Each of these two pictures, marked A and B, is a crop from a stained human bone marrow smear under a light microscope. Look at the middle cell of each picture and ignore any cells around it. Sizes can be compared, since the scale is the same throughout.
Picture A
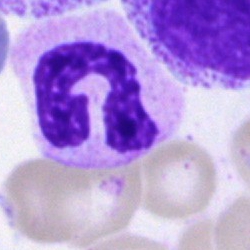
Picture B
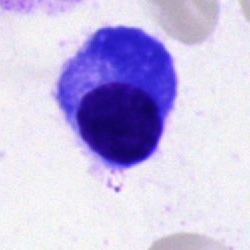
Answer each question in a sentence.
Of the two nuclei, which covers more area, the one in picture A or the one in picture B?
The nucleus in picture A is larger, with about 1.5 times the area of the one in picture B.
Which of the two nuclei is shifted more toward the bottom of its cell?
In picture B the nucleus is shifted more toward the bottom.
